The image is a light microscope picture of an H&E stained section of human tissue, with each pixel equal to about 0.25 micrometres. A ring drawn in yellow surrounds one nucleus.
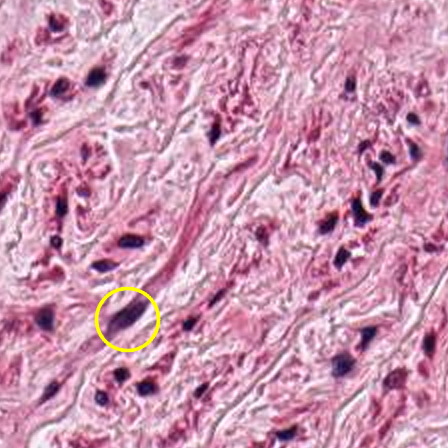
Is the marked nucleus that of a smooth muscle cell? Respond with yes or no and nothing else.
yes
